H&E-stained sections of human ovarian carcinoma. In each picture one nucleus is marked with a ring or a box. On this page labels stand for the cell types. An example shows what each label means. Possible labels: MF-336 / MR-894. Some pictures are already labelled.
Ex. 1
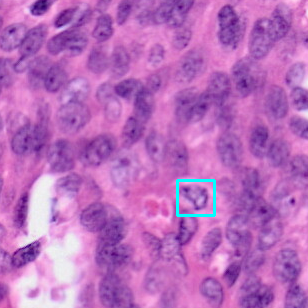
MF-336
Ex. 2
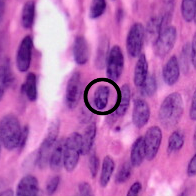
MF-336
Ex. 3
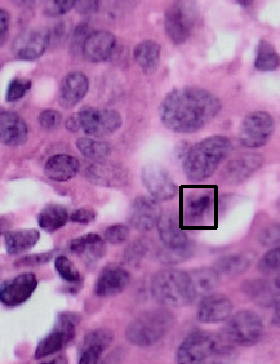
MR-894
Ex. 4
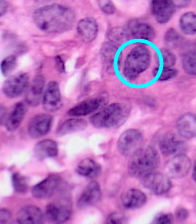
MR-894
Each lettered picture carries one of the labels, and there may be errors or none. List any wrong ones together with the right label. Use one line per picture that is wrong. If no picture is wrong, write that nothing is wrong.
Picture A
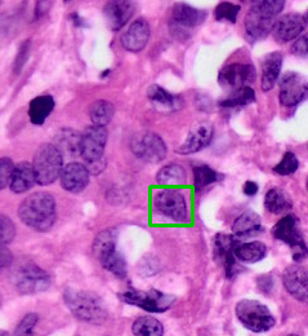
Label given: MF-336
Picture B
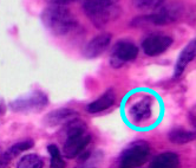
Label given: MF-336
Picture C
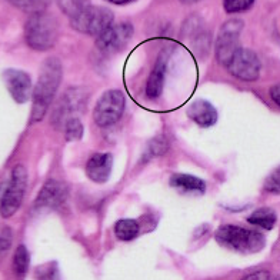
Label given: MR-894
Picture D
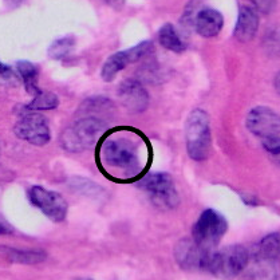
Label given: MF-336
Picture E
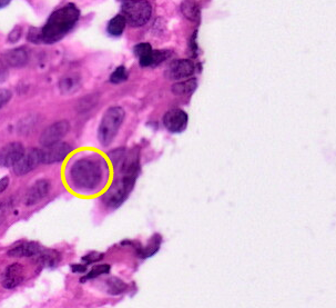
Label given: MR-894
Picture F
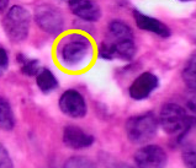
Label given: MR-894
A: MR-894, not MF-336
